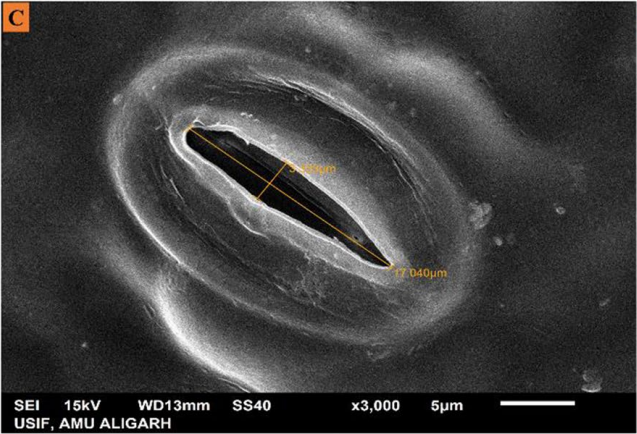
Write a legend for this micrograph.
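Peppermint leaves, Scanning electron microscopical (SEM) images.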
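The leaf surface shows a single raised oval complex made of two curved, bean-shaped cells lying face to face, their outer walls smooth with fine concentric ridges running parallel to their margins. Between them opens a dark, spindle-shaped slit, wide in the middle and tapering to pointed ends, with ridged inner lips. Around the complex the surface is gently undulating, with low bulges of neighbouring epidermal cells whose borders are faint. A few small particles sit on the surface. This is a stoma of the leaf epidermis: the two cells are guard cells and the open slit between them is the stomatal aperture.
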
